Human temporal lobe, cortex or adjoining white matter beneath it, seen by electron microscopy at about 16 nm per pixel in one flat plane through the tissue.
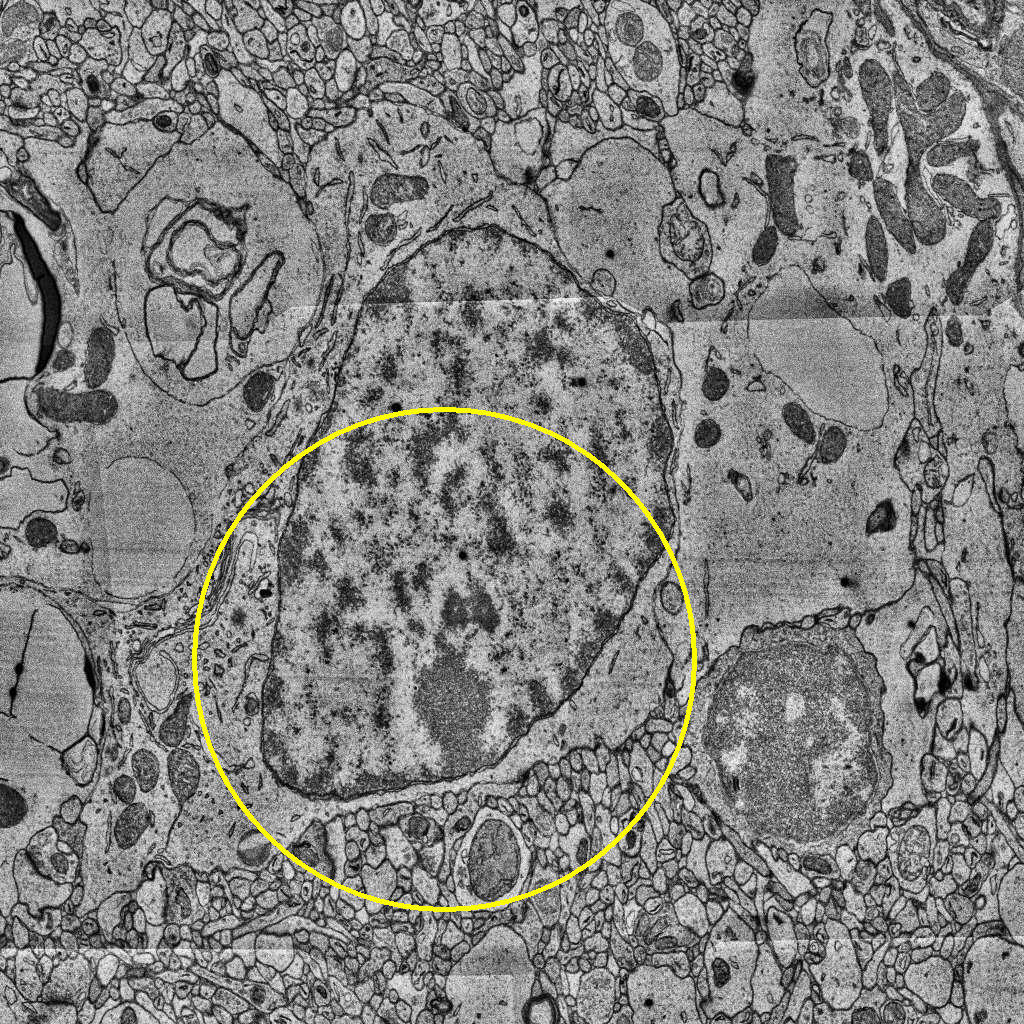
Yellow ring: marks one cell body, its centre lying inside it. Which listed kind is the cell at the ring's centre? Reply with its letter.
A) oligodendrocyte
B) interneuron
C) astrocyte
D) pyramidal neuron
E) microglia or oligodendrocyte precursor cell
E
